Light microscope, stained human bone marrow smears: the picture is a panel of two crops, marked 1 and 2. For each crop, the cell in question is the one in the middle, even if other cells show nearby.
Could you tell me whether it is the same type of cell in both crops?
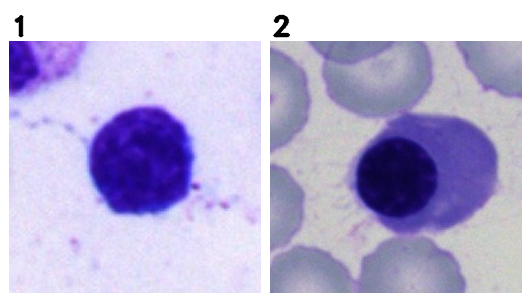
no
